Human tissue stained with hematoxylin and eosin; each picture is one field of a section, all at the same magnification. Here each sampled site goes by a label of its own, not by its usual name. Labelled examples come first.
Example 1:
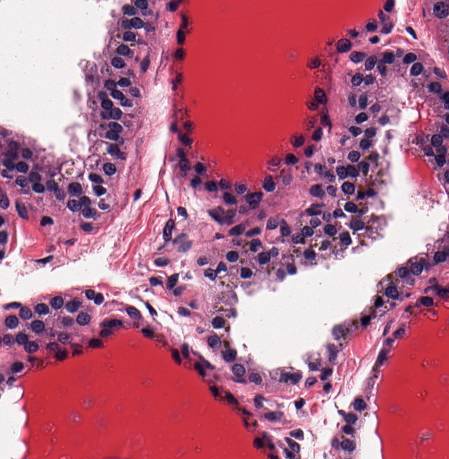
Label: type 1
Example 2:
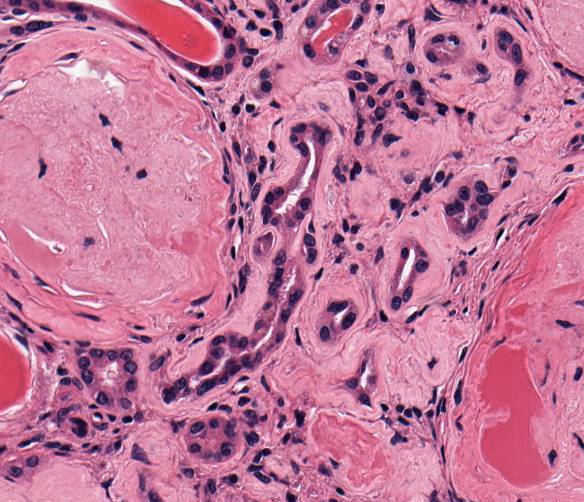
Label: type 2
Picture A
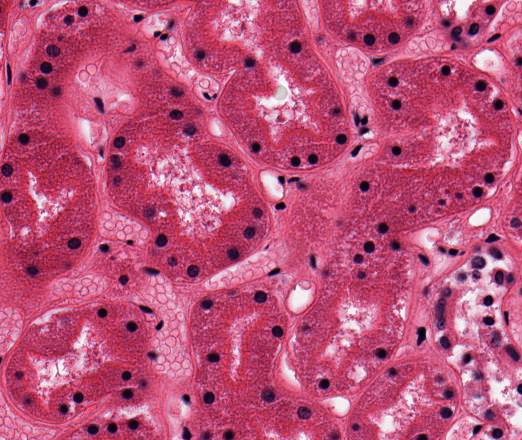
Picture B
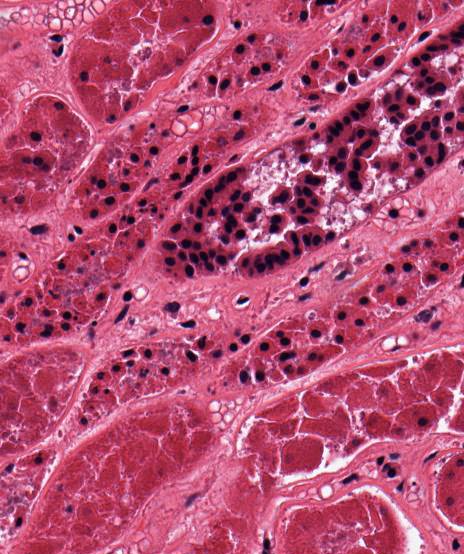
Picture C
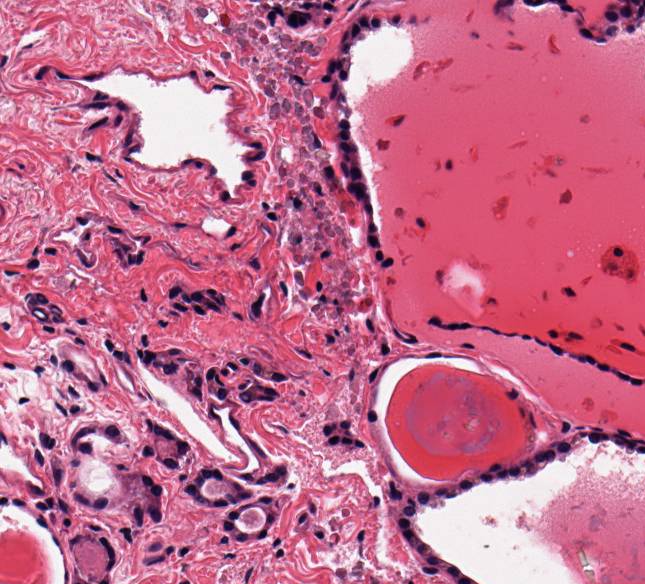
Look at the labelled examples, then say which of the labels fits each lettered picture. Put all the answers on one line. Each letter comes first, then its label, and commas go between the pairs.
A type 2, B type 2, C type 1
